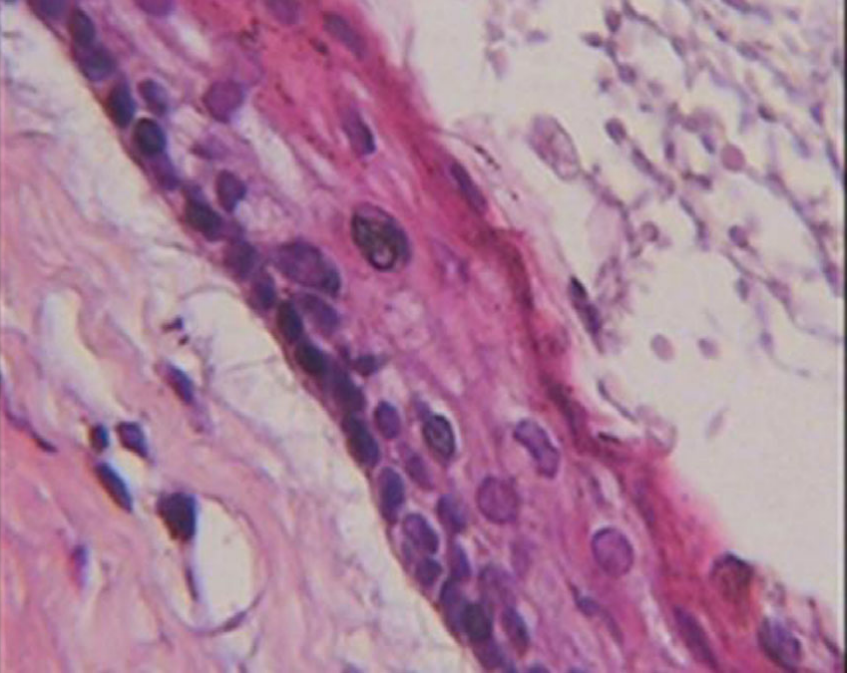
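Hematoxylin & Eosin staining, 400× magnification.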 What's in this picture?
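This is the thin stratified squamous epithelial lining of an odontogenic keratocyst, set on pale pink fibrous connective tissue on the left. Its basal layer is a row of crowded, dark purple nuclei standing side by side in a palisade along the border with the connective tissue. Above it lie a few layers of cells with paler, rounder nuclei and pink cytoplasm. The free surface facing the cyst space is covered by a dense, deep pink keratinized layer with a wavy, corrugated outline.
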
